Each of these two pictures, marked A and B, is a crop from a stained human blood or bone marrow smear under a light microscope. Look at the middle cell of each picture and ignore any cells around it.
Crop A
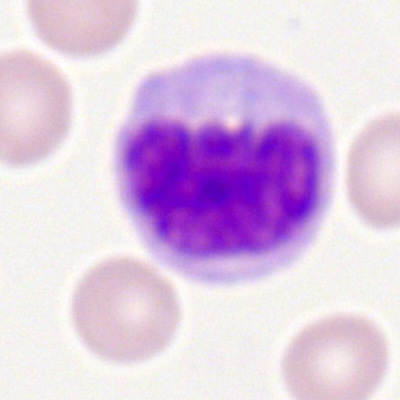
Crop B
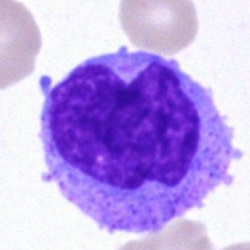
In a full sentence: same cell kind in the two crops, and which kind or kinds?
Yes, monocytes occupy the centre of both crops.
